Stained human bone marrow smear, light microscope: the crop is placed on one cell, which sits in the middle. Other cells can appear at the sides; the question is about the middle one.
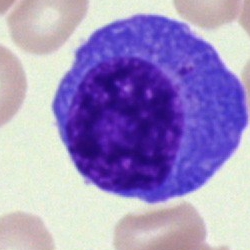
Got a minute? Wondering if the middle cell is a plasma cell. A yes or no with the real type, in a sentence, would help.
Yes, a plasma cell occupies the middle of the crop.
